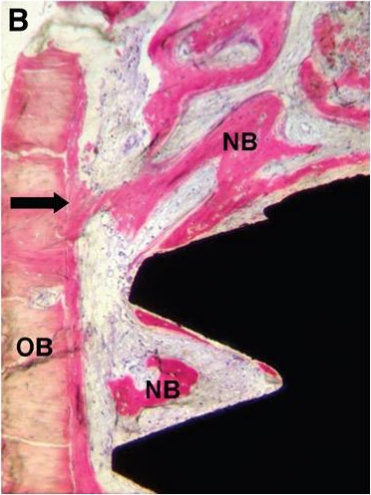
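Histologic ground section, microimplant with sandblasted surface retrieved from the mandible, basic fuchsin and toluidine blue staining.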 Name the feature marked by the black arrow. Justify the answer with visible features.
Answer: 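Connecting bridge. The arrow points to a strand of pink-stained tissue. This strand joins the pale compact bone band at the left to the bright pink trabeculae at the right.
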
